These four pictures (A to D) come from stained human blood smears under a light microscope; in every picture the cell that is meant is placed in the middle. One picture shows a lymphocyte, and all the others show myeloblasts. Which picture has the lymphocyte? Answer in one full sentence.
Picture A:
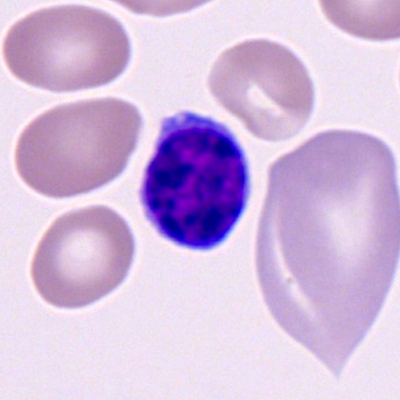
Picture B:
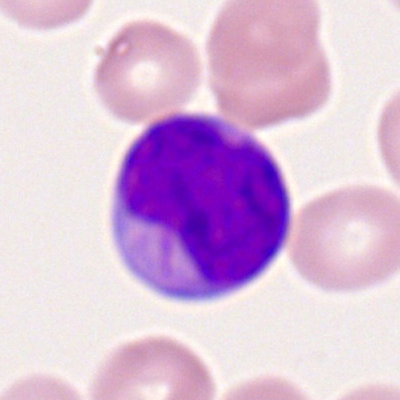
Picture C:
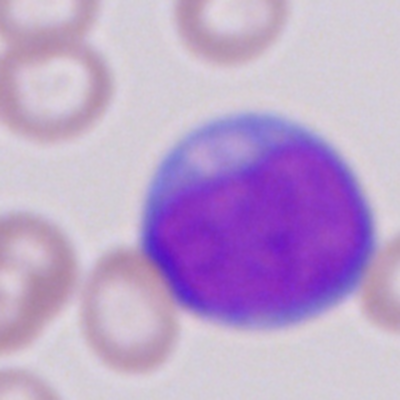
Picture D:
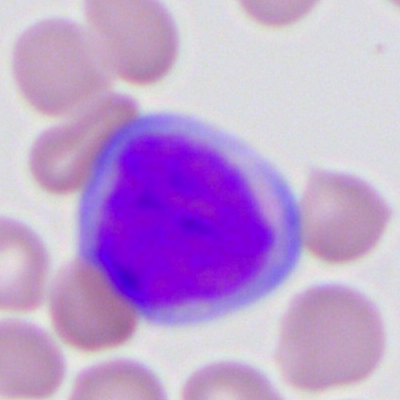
It is picture A that shows the lymphocyte.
